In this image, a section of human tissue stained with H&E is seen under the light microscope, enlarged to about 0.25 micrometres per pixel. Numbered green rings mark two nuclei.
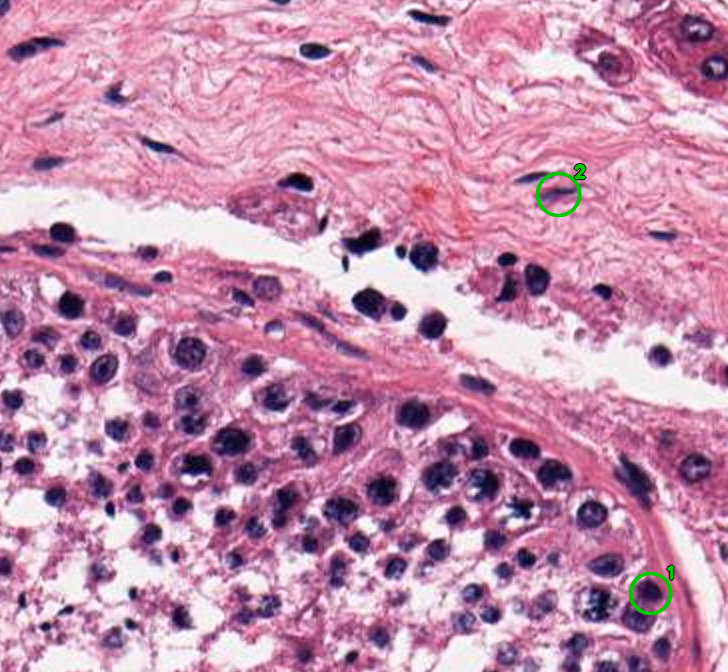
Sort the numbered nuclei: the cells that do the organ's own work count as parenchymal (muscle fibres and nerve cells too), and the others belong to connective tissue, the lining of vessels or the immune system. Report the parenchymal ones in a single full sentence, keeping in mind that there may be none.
Solely nucleus 1 belongs to a parenchymal cell in this section.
